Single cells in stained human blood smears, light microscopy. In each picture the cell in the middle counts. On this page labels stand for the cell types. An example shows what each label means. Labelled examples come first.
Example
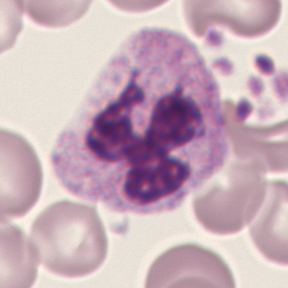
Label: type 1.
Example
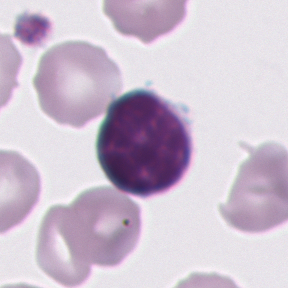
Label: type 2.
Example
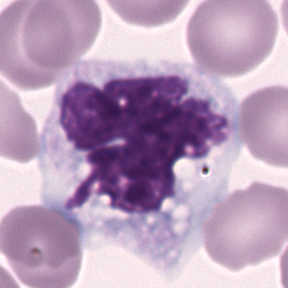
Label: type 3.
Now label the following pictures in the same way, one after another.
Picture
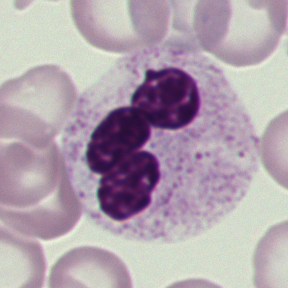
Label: type 1.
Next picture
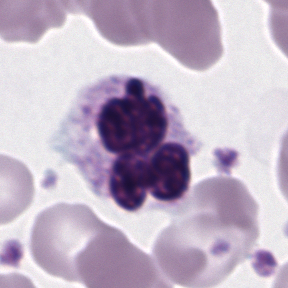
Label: type 1.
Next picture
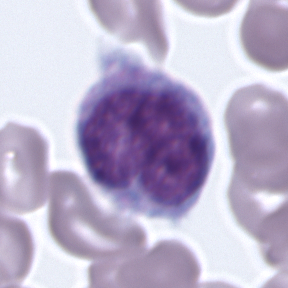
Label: type 3.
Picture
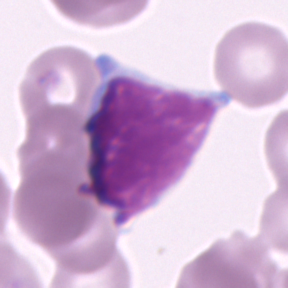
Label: type 2.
